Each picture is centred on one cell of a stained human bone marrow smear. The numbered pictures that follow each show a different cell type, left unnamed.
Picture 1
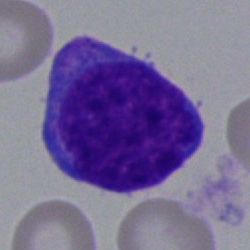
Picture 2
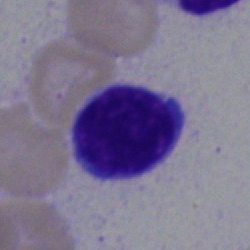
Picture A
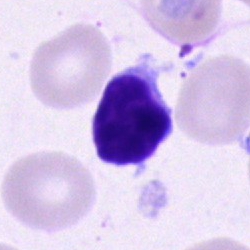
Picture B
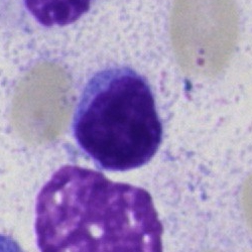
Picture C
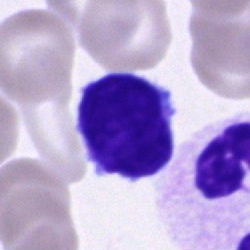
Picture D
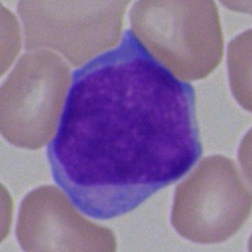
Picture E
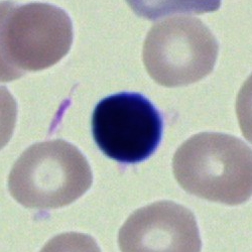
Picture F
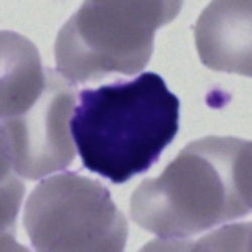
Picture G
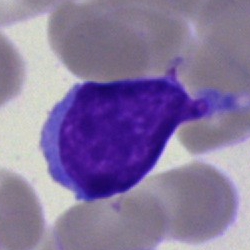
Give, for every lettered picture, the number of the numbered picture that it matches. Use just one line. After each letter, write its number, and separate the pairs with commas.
A 2, B 2, C 2, D 1, E 2, F 2, G 2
